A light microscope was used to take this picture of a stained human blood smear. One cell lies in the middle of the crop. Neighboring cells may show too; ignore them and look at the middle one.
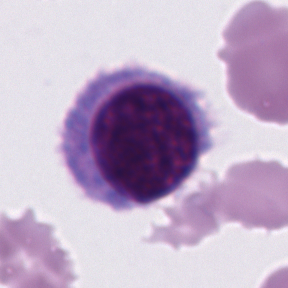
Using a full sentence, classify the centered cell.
The crop shows a hairy cell in its centre.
